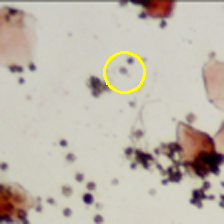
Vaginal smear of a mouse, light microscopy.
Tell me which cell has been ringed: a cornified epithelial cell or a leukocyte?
It is a leukocyte.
